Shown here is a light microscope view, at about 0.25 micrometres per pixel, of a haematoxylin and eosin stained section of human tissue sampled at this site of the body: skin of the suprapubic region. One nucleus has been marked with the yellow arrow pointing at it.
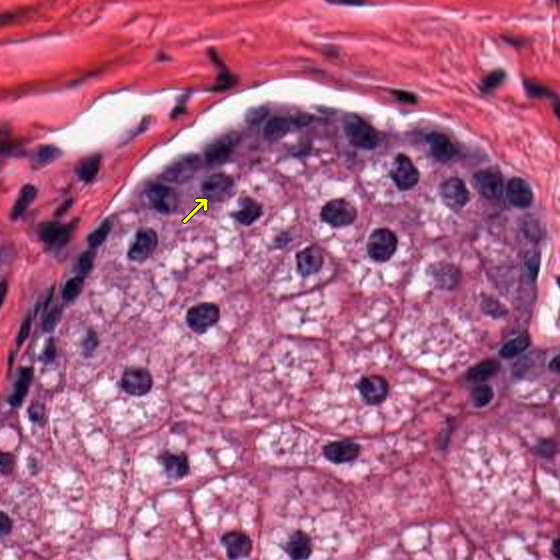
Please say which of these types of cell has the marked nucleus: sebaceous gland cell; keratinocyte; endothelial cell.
sebaceous gland cell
